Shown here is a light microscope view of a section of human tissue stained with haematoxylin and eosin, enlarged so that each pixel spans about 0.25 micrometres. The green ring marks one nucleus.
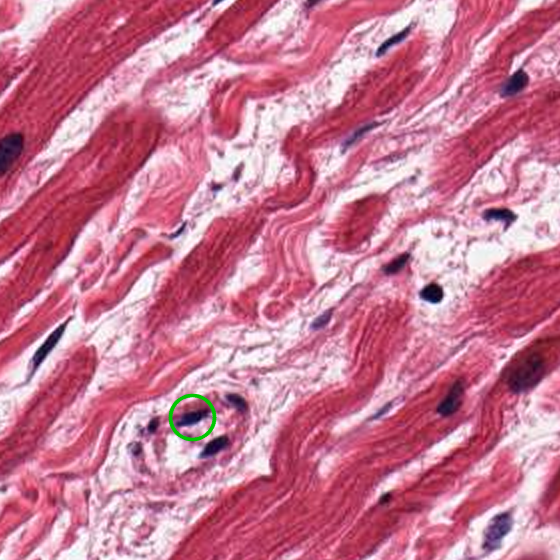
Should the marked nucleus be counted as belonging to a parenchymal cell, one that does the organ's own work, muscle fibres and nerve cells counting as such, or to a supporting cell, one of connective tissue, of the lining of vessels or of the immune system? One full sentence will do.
In this field of view, a supporting cell owns the marked nucleus.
